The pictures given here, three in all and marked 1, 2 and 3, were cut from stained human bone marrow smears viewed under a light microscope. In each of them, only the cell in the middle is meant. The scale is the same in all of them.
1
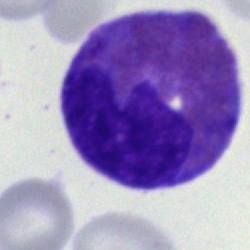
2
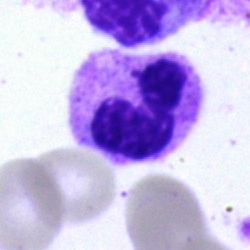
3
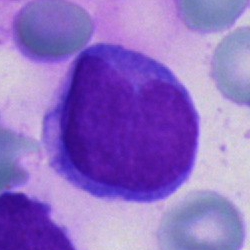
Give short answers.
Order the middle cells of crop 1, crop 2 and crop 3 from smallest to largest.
2, 3, 1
